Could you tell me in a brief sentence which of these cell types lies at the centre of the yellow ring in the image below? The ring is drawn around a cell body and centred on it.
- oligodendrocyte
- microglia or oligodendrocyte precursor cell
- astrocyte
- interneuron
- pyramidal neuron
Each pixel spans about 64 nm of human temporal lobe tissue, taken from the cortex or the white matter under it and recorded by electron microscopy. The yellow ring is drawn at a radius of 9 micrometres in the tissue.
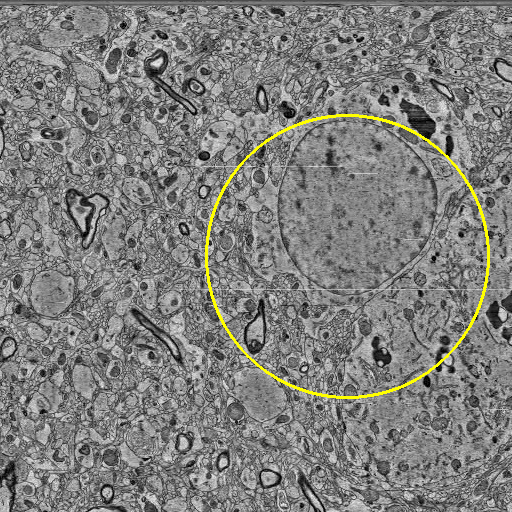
The cell centred in the ring is an astrocyte.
